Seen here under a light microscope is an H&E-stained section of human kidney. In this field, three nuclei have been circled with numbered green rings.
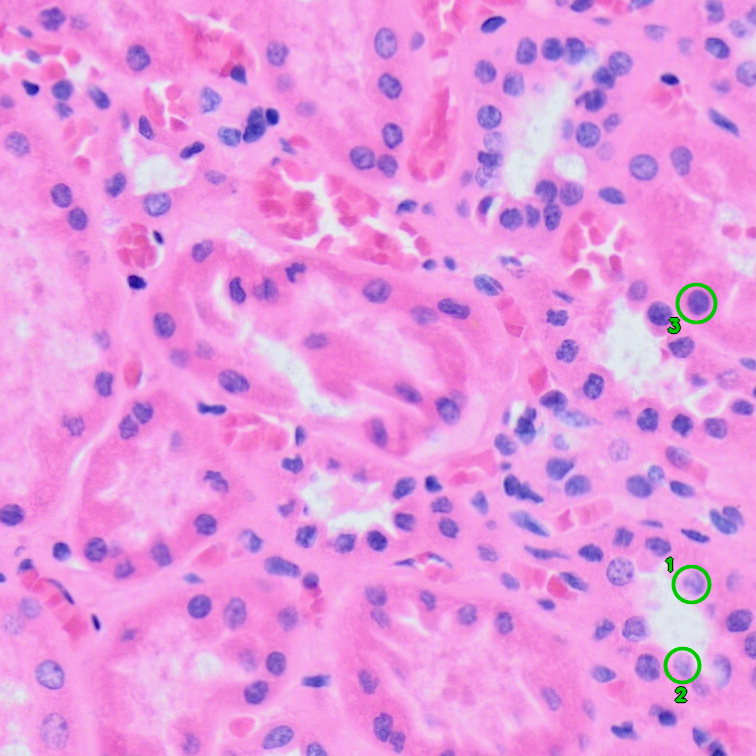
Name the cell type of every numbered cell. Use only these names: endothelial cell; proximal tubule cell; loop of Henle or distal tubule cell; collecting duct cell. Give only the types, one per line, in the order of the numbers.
loop of Henle or distal tubule cell
loop of Henle or distal tubule cell
proximal tubule cell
